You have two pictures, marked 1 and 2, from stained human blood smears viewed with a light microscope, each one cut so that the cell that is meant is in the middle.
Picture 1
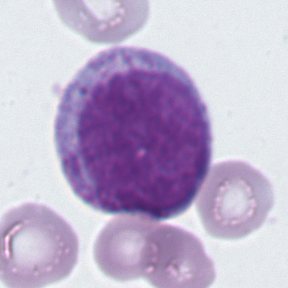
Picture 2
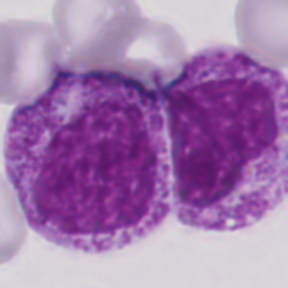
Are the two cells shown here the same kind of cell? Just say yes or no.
no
